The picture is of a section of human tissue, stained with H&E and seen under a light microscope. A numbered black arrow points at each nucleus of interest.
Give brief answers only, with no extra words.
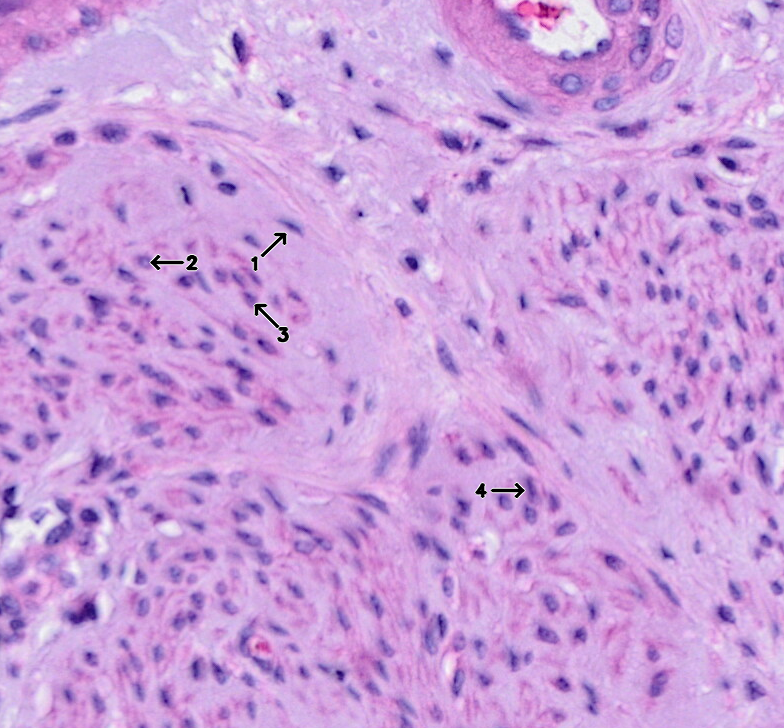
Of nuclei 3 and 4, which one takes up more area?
4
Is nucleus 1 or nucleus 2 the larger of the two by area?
1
